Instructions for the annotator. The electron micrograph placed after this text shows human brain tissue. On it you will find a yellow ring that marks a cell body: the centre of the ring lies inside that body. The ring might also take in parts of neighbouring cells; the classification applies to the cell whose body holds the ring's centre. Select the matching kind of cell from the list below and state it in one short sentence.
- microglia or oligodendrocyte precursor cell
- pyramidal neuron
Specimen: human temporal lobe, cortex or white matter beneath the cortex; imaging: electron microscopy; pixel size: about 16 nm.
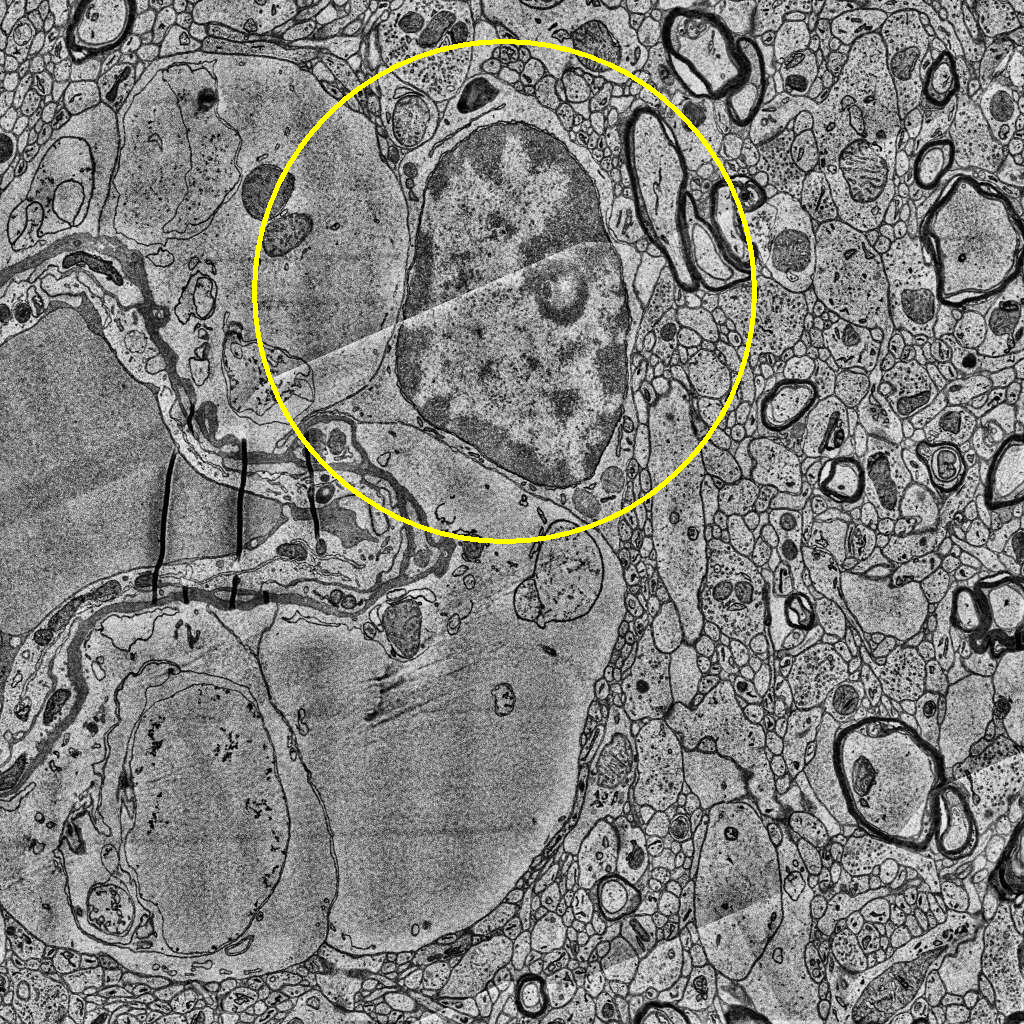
The centre of the ring lies in the cell body of a microglial cell or oligodendrocyte precursor cell.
